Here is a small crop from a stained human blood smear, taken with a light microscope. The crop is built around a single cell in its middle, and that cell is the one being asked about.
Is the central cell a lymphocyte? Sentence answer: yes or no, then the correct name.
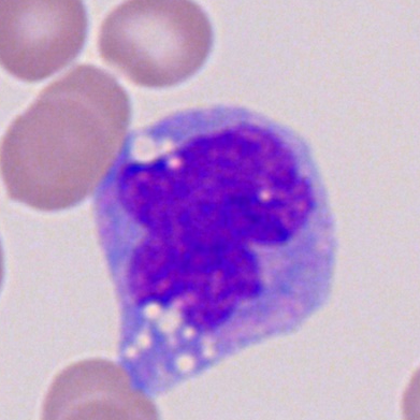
No, the central cell is not a lymphocyte; it is a monocyte.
